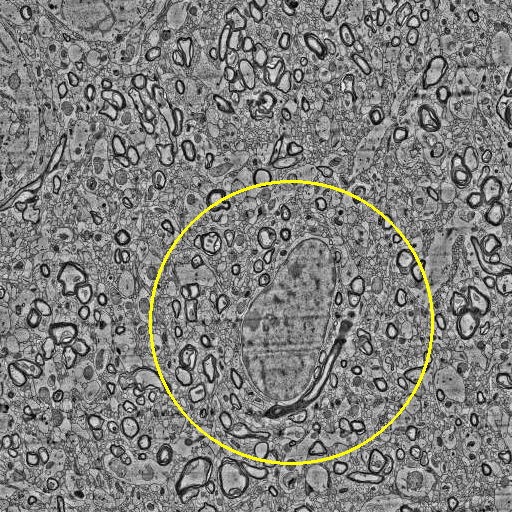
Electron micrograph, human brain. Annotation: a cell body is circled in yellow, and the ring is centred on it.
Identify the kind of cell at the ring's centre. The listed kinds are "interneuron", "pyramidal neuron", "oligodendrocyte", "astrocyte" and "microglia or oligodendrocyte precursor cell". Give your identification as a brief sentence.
The circled cell body is that of a microglial cell or oligodendrocyte precursor cell.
